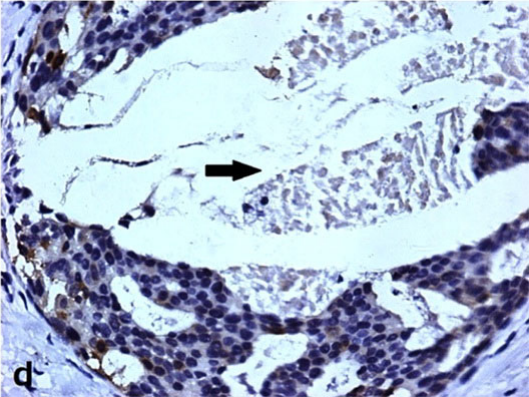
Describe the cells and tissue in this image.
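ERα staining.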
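Breast ductal carcinoma in situ with central necrosis. Crowded epithelial cells with dark blue, oval nuclei line a distended duct and form bridging strands around small round spaces. The duct centre is a large space holding pale, granular, amorphous debris without intact cells. This debris is separated from the viable epithelium by a clear gap. Loose fibrous stroma lies at the left edge.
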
